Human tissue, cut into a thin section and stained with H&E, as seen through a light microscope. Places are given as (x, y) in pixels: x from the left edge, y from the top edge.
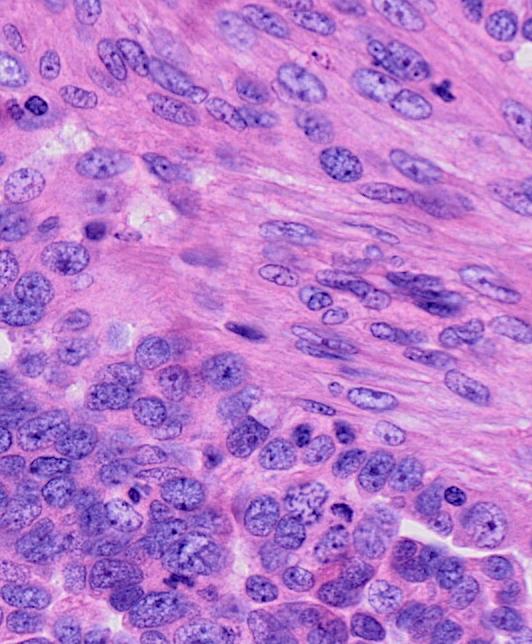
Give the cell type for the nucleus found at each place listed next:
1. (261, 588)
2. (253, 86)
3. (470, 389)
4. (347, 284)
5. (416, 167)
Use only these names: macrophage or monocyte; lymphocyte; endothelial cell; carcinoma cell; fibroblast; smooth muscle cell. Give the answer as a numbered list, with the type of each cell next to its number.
1. macrophage or monocyte
2. fibroblast
3. fibroblast
4. endothelial cell
5. fibroblast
